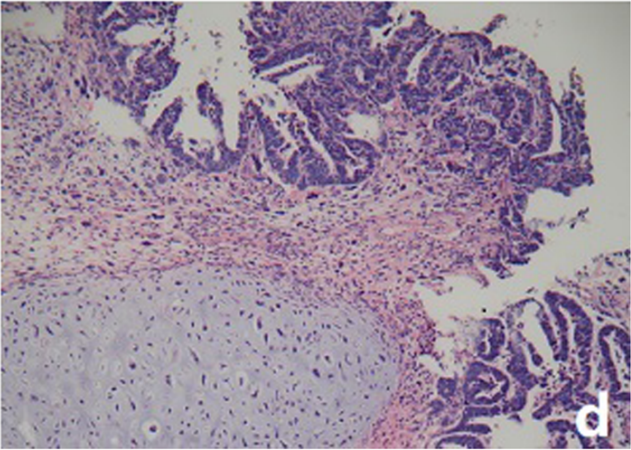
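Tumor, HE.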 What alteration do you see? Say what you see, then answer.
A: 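Upper right shows crowded, dark purple epithelium folded into papillary and gland-like fronds. The epithelial nuclei are stratified and hyperchromatic. The fronds project into open clear spaces.
Carcinomatous.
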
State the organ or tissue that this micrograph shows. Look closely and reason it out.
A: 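Cartilage. Lower left holds a rounded, pale blue-grey area with a glassy matrix. Cells in that area sit singly in small clear spaces within the matrix. A band of pink, spindle-cell stroma separates this area from the epithelium.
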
